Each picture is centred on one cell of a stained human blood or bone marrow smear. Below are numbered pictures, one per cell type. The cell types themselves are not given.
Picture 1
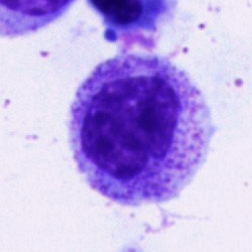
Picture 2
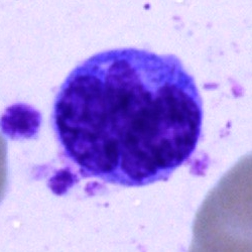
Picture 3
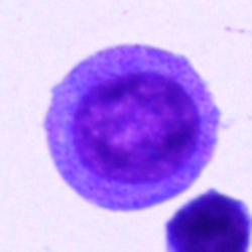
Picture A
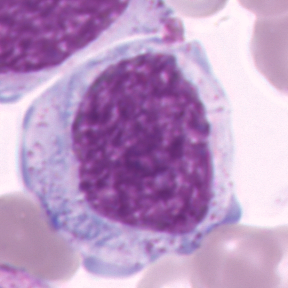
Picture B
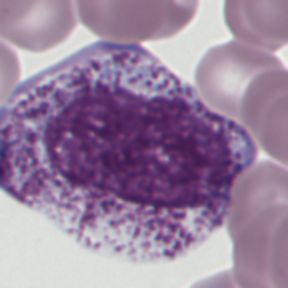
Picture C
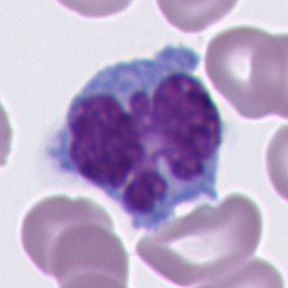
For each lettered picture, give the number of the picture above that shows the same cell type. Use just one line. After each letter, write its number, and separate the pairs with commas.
A 3, B 3, C 2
